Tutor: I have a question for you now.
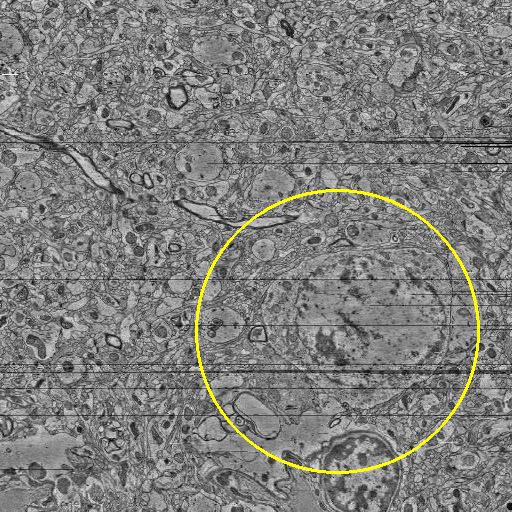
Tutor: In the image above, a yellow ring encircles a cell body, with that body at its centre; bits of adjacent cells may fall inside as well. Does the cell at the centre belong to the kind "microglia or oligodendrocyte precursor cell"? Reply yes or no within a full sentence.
No, the centred cell inside the ring belongs to another kind.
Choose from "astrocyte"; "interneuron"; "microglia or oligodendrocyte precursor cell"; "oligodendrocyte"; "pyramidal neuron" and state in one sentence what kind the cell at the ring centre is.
In this picture, the ring is centred on an interneuron.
